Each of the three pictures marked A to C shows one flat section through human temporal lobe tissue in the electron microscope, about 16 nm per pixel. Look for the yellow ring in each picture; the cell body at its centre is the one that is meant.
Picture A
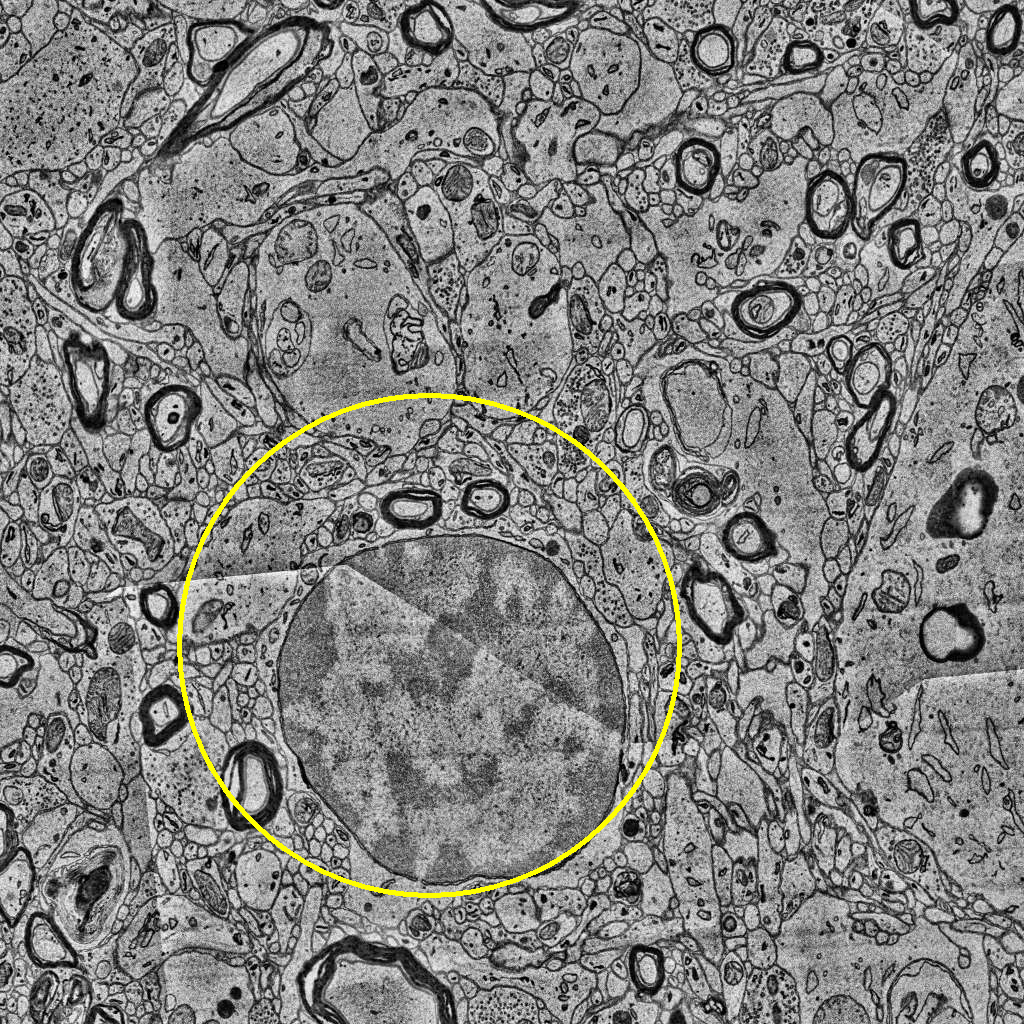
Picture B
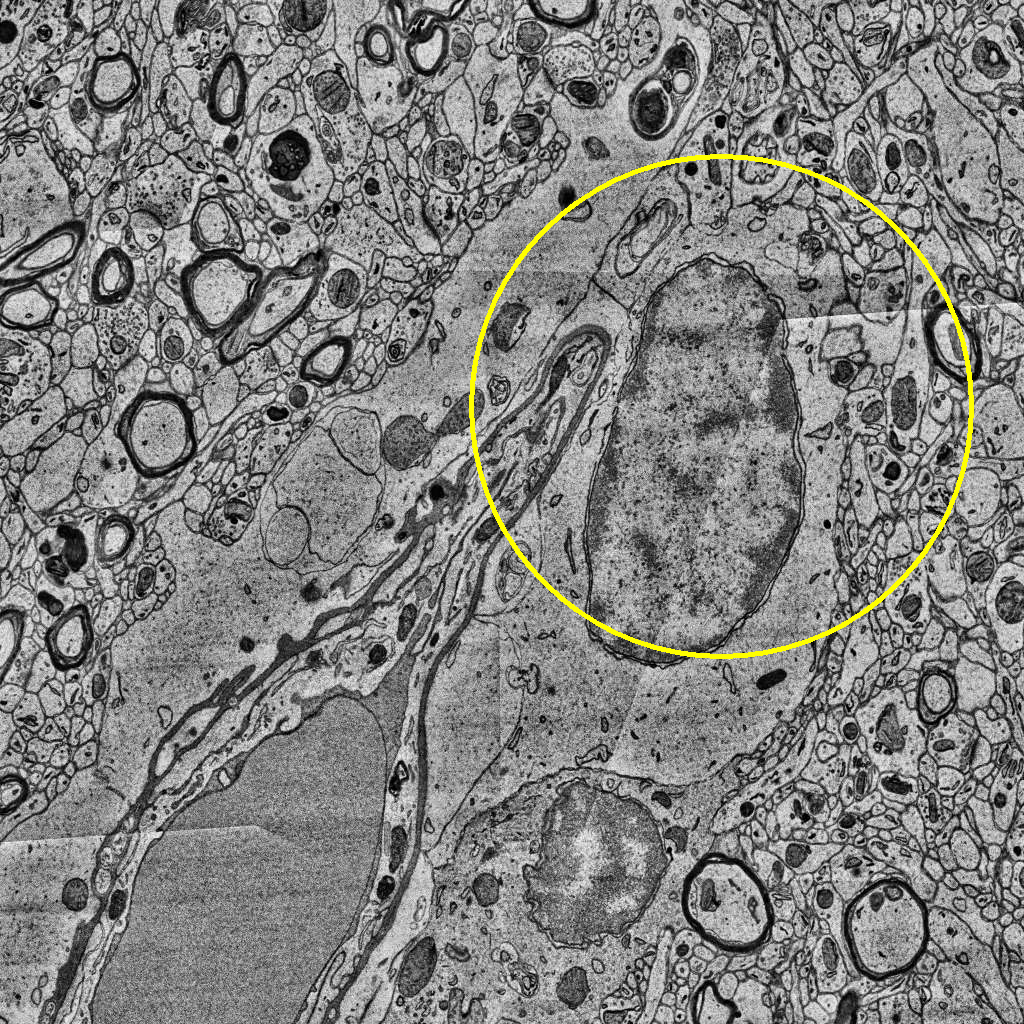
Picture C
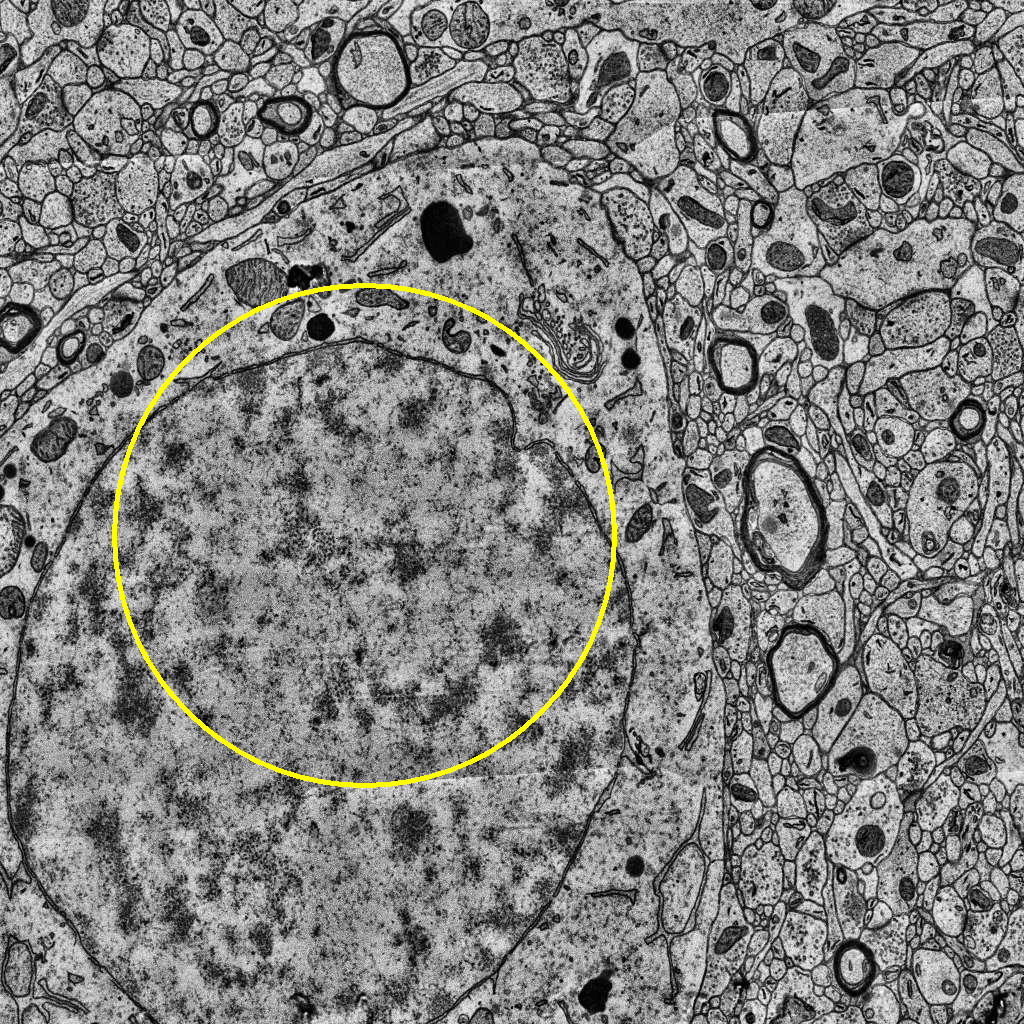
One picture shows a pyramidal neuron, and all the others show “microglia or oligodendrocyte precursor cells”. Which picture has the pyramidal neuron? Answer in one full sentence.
Picture C shows the pyramidal neuron.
